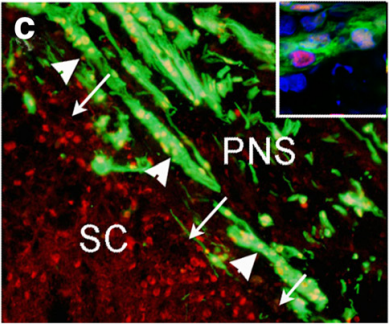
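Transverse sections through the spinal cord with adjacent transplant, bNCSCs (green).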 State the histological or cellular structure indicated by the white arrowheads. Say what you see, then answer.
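The arrowheads point to long green strands running in parallel diagonally. The strands lie side by side next to the region with many red dots.
Conclusion: elongated tubes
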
